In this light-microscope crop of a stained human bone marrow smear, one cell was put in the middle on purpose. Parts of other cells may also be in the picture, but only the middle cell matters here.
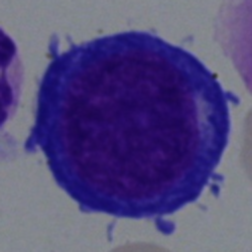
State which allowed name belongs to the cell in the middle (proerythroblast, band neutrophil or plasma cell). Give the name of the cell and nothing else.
proerythroblast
